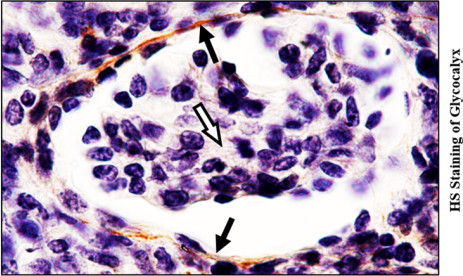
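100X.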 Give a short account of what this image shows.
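The enclosing capsule is marked by only a thin brown line, clearest along its upper edge and much fainter elsewhere. Outside the capsule the tissue is densely packed with many nuclei, giving a crowded look to the surrounding interstitium and tubules, with little brown stain among them.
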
